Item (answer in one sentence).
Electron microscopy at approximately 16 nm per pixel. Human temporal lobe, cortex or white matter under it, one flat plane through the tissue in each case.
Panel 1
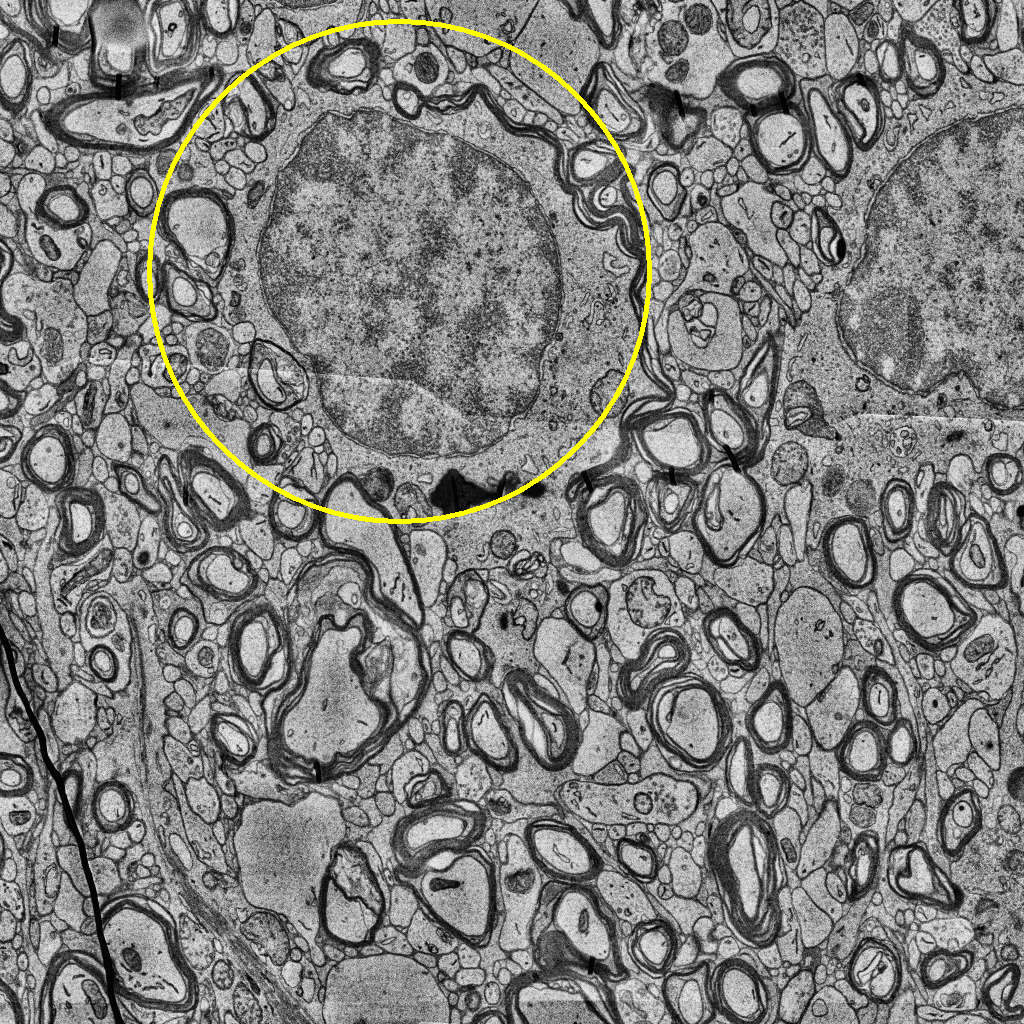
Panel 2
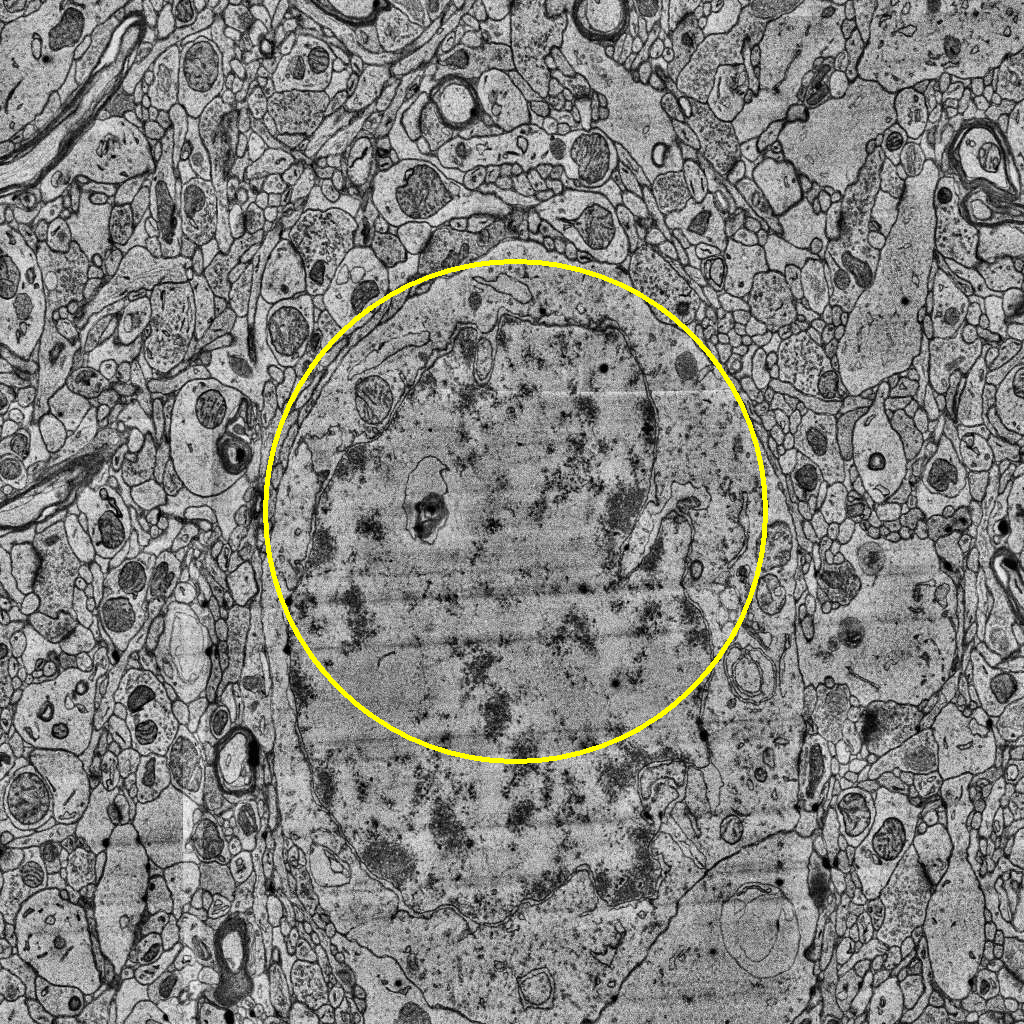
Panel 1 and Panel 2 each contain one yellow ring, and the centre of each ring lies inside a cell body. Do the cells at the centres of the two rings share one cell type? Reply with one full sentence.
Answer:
No, Panel 1 and Panel 2 show cells of two types at the centres of their rings.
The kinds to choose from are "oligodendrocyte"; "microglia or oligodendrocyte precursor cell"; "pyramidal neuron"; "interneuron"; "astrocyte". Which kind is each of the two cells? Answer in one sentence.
In the first picture it is an oligodendrocyte; in the second it is an interneuron.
